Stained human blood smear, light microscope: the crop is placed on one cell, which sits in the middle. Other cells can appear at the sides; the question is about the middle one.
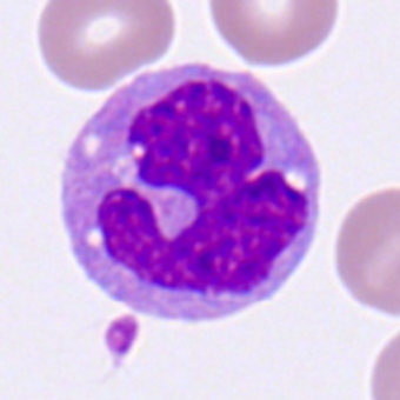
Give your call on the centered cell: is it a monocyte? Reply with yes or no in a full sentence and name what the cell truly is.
Yes, the cell in the middle of the view is a monocyte.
